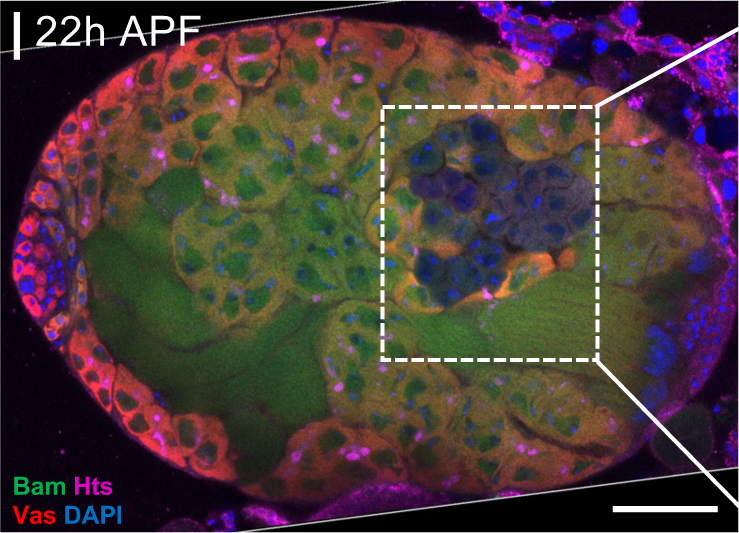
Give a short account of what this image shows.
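At one end a band of small red cells lines the tip. In the middle lies a cluster of rounded cells that have lost the red and green cytoplasm and show only blue nuclei, standing out from the surrounding cysts. Magenta dots are scattered among the cells.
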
